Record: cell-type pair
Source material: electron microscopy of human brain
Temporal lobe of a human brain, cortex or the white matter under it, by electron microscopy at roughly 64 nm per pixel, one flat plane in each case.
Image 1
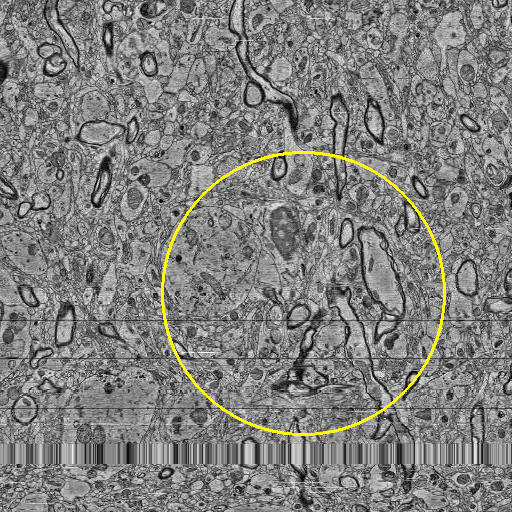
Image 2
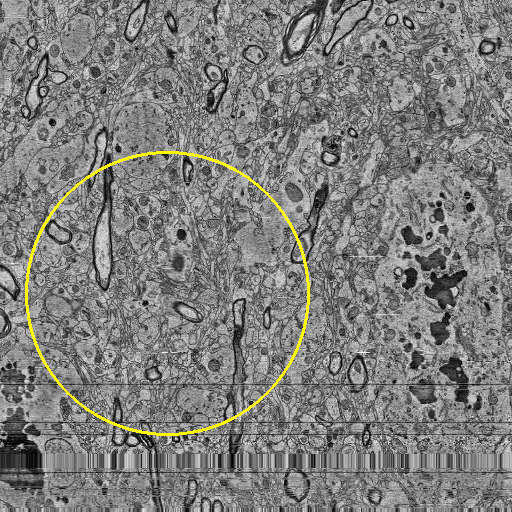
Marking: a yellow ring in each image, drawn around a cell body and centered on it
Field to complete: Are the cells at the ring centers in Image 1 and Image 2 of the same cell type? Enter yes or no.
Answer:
yes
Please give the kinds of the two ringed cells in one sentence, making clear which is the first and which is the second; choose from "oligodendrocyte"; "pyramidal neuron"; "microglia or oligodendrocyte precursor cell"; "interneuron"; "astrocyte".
Each cell at the centre of a ring is a microglial cell or oligodendrocyte precursor cell.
